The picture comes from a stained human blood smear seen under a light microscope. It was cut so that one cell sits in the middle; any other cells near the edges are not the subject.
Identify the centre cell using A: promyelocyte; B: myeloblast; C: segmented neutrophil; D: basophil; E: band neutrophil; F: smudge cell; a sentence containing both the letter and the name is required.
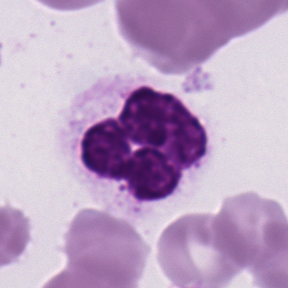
Since the cell in the centre is a segmented neutrophil, the correct option is C.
